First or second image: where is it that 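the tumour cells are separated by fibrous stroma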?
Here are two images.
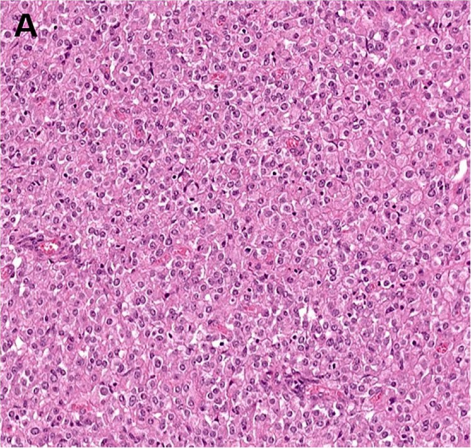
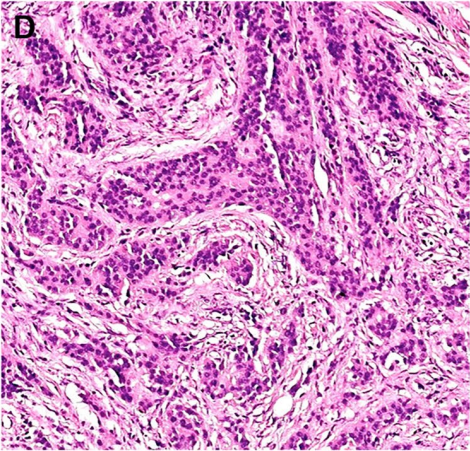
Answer: The second image.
